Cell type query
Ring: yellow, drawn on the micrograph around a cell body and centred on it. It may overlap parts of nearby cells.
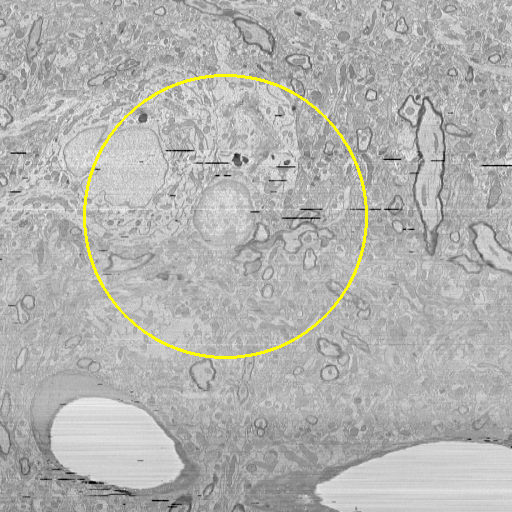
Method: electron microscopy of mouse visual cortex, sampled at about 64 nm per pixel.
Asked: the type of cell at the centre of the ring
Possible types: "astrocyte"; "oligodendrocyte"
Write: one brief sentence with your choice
The ring marks an oligodendrocyte.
